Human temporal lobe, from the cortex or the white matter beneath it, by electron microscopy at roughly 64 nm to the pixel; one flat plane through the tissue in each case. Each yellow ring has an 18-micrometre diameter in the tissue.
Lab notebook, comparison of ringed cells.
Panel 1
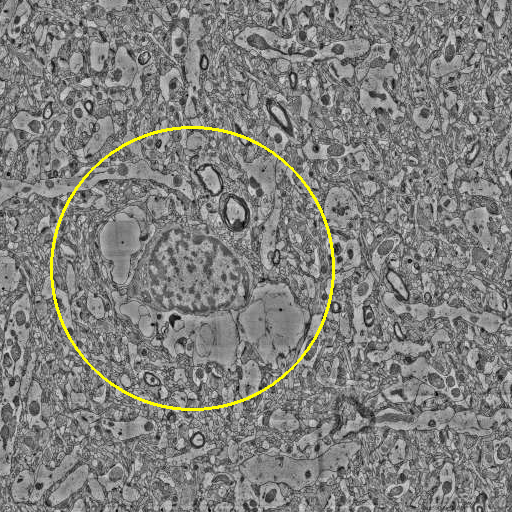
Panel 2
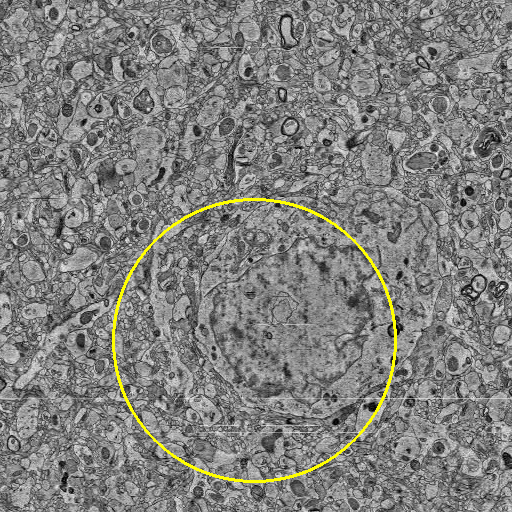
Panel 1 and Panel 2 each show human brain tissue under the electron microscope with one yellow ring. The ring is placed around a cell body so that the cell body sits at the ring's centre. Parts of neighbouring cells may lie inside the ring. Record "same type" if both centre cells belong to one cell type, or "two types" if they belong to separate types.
two types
